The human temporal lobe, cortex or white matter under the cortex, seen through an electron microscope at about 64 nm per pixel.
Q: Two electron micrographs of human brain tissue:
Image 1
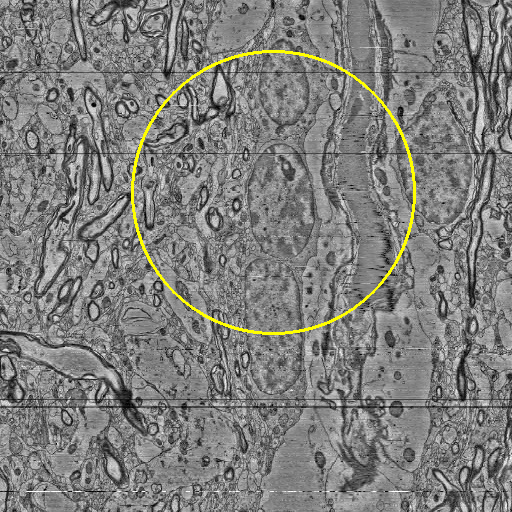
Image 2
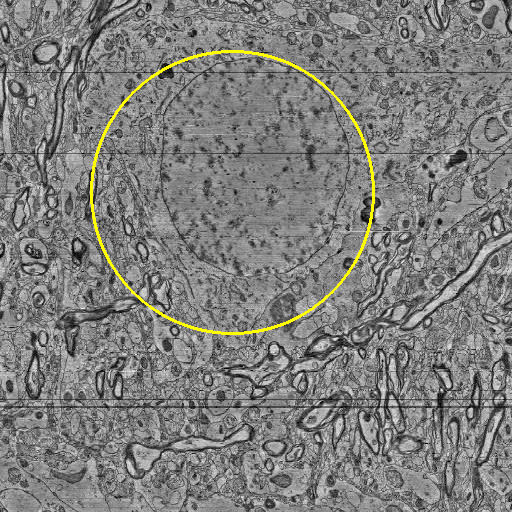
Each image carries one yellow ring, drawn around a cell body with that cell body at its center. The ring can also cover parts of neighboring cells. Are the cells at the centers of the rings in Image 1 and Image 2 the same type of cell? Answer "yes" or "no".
no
